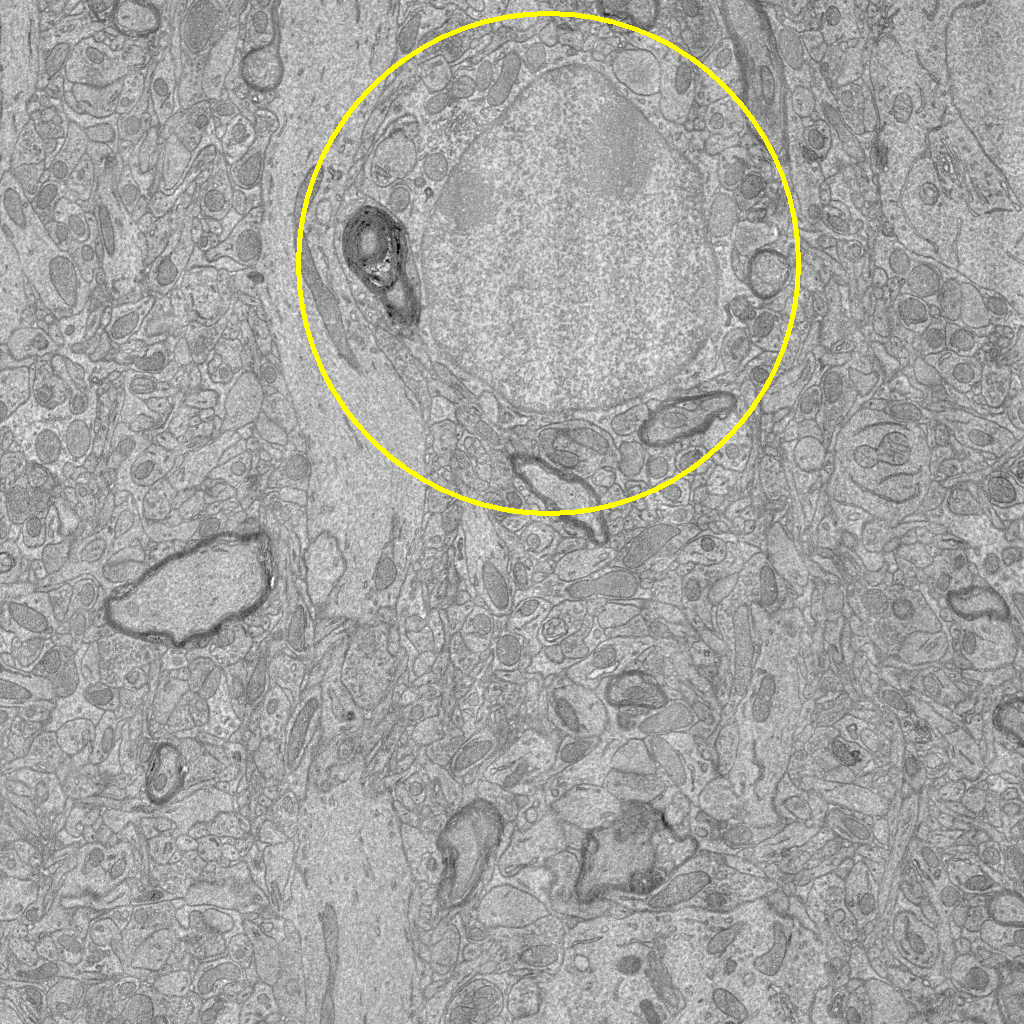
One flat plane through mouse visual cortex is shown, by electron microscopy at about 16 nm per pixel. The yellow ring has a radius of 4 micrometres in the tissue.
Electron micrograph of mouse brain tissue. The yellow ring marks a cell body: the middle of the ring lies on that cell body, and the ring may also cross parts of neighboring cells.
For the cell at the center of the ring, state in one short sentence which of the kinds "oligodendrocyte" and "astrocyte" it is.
This ring's center lies on an astrocyte.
